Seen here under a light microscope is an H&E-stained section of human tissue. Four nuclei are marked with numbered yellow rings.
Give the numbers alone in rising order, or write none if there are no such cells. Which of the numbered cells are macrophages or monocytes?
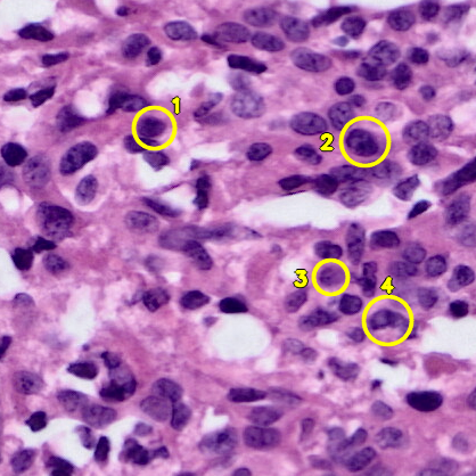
4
